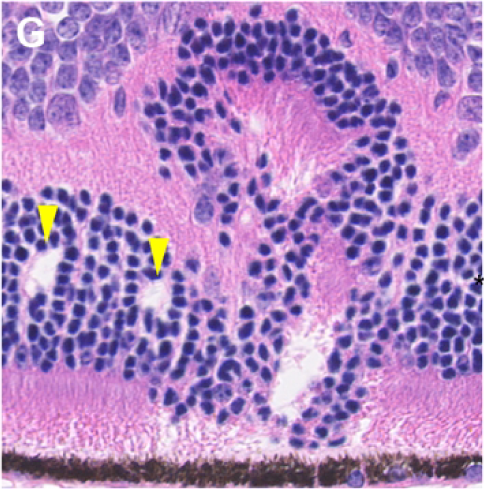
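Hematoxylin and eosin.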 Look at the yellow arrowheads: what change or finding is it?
Voids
